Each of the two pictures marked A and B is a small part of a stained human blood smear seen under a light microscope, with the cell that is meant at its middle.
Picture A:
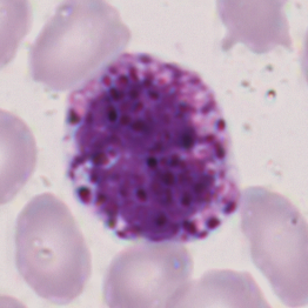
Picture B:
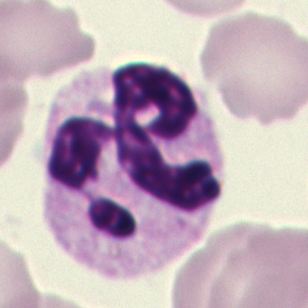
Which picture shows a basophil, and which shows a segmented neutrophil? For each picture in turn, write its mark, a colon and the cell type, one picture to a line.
A: basophil
B: segmented neutrophil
